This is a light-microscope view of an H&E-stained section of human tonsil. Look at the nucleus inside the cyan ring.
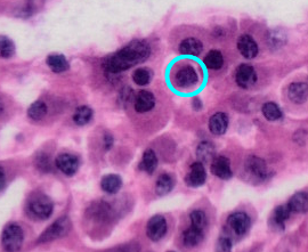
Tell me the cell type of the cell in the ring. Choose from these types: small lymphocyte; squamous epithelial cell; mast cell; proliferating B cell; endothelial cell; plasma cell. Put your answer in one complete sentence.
The expected answer is simply that the cell in the ring is a plasma cell.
